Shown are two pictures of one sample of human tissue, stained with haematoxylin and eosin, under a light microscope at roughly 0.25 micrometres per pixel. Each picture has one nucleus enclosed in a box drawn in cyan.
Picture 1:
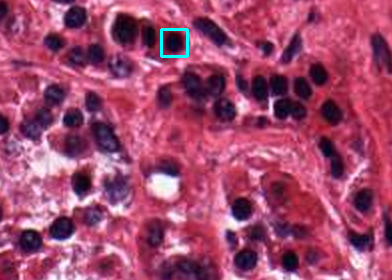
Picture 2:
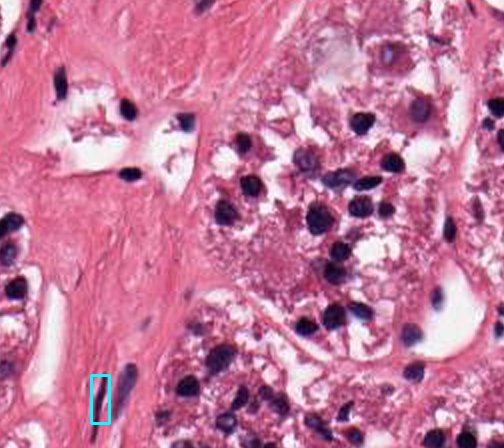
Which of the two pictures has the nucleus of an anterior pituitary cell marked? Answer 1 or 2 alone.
1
